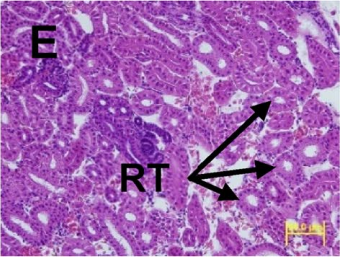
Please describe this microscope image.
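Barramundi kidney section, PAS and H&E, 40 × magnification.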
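Several tubules are marked by arrows on the right of the field. Between the tubules lie small clusters of dark-nucleated cells, the hematopoietic tissue, and patches of red blood cells.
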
